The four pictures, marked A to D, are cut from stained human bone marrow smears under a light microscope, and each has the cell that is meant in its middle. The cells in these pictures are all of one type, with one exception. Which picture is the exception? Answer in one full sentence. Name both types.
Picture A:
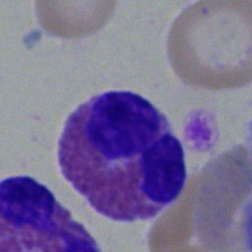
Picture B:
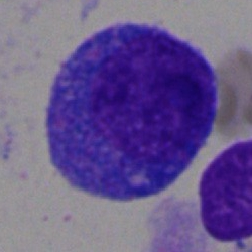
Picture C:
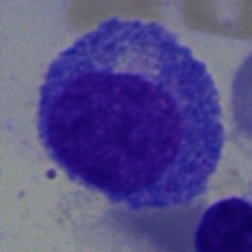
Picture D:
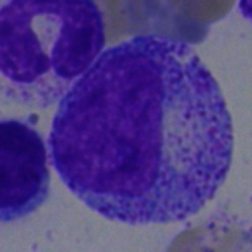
Picture A is the odd one out: it shows an eosinophil, while the others show promyelocytes.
